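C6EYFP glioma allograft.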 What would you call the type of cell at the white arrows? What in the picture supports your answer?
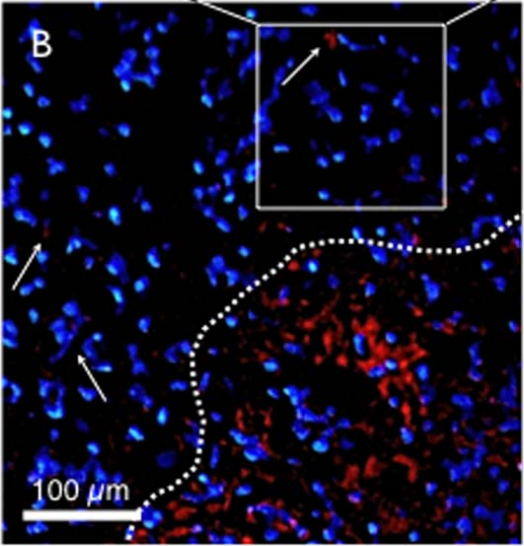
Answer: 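The arrows point to small isolated red spots among blue nuclei. These spots lie away from the dense red area at the lower right. So: Fluorescent tumor cells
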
